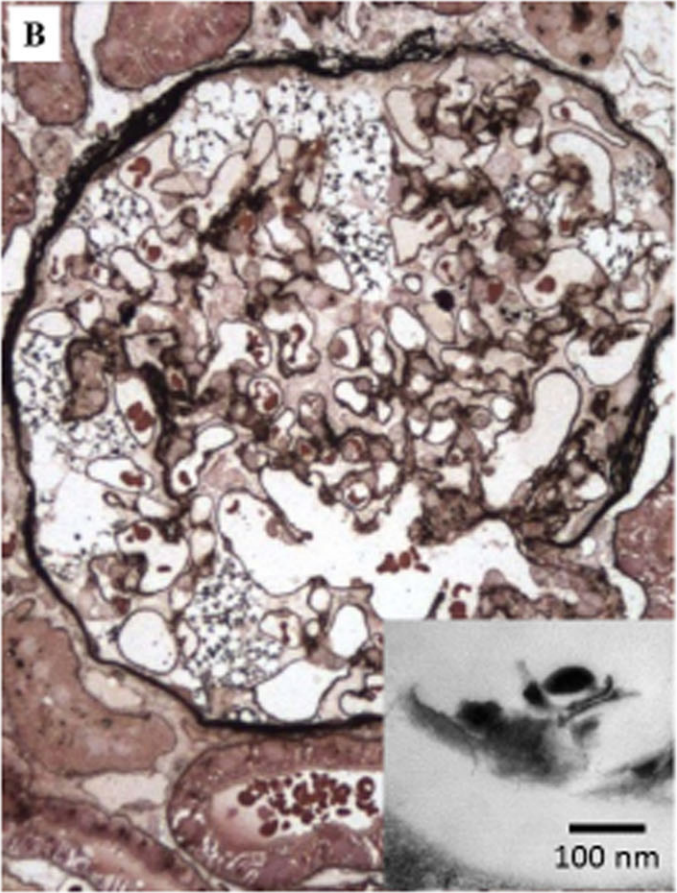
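Large clear spaces filled with fine dark granular material lie over the outer surfaces of the capillary loops. The loops themselves are open, have thin dark-brown walls and contain red blood cells, and they are not crowded with cells.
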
